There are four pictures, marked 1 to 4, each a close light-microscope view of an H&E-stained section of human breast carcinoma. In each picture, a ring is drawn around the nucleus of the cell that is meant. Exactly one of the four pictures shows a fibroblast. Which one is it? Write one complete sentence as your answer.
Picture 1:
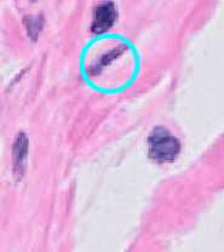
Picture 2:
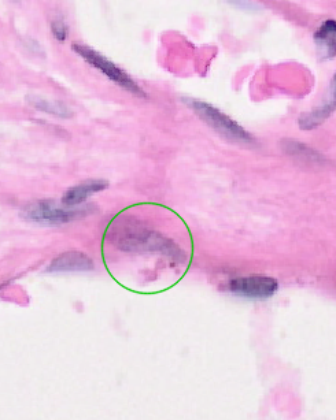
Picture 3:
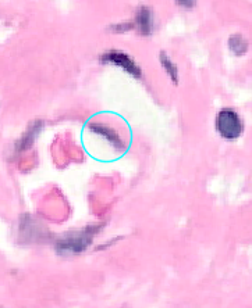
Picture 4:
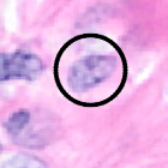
The picture with the fibroblast is 1.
